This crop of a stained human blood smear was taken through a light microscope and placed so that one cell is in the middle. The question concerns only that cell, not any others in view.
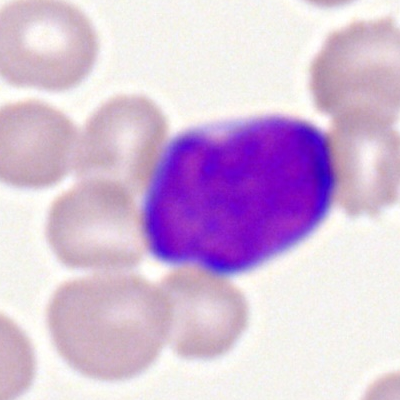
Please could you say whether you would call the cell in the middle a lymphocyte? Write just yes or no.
no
